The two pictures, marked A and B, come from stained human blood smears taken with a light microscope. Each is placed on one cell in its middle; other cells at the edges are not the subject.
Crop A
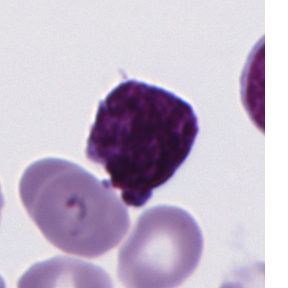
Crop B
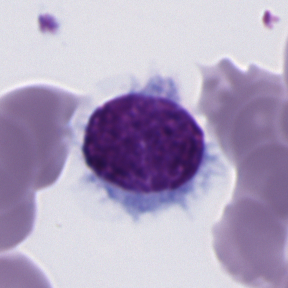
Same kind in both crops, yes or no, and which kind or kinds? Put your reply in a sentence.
No, crop A represents a myeloblast, and crop B represents a hairy cell.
